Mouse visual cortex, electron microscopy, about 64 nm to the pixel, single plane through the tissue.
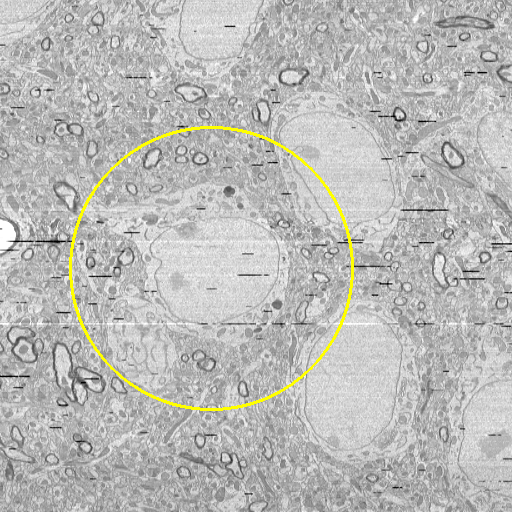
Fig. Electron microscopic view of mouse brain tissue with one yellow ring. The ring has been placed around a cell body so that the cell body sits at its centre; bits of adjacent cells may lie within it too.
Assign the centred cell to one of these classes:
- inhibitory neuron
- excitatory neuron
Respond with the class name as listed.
excitatory neuron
